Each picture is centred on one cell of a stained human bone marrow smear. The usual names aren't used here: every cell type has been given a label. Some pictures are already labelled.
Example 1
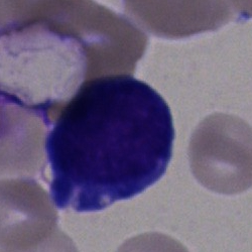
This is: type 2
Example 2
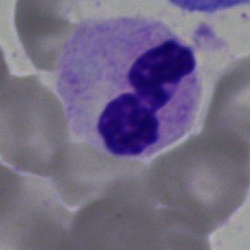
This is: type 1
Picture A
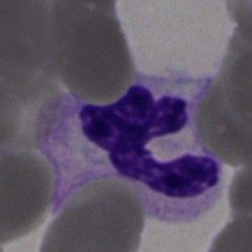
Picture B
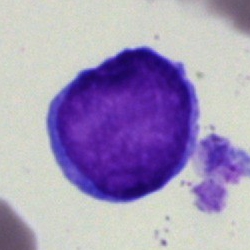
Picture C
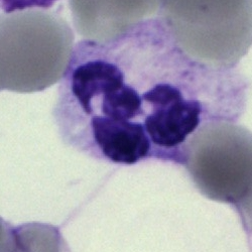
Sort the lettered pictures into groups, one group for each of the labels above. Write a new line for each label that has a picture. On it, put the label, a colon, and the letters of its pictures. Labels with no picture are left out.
type 2: B
type 1: A, C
